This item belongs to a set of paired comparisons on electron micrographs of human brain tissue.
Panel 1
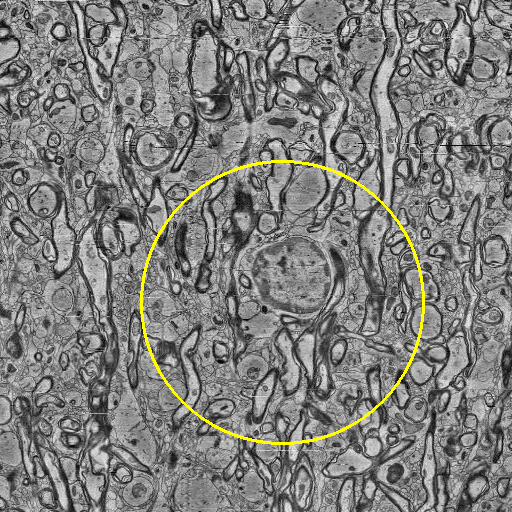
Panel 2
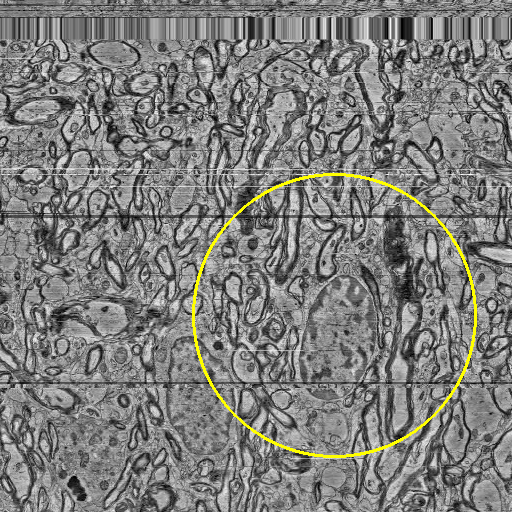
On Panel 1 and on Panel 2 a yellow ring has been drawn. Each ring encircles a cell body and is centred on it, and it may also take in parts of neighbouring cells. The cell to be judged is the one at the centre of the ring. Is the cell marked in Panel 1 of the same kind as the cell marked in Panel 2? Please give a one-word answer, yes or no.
yes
